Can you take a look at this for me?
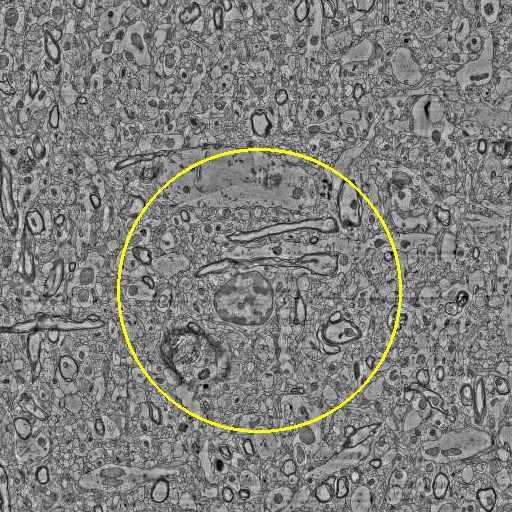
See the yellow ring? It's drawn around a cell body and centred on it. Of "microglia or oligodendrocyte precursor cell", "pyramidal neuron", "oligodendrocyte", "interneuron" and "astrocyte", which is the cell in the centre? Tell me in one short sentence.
The one in the centre is a microglial cell or oligodendrocyte precursor cell.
